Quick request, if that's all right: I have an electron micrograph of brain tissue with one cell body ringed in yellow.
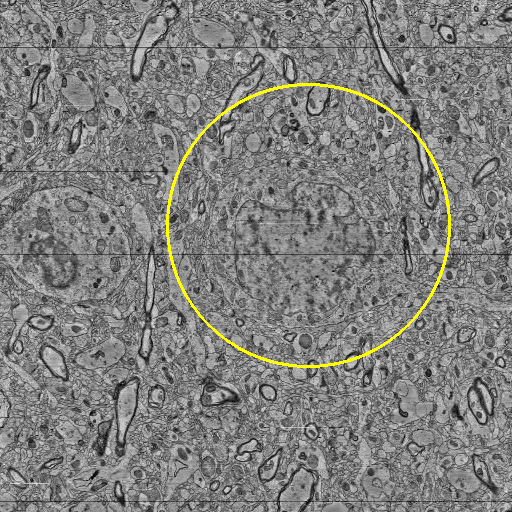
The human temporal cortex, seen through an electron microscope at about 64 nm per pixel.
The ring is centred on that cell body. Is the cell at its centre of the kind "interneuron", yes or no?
yes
